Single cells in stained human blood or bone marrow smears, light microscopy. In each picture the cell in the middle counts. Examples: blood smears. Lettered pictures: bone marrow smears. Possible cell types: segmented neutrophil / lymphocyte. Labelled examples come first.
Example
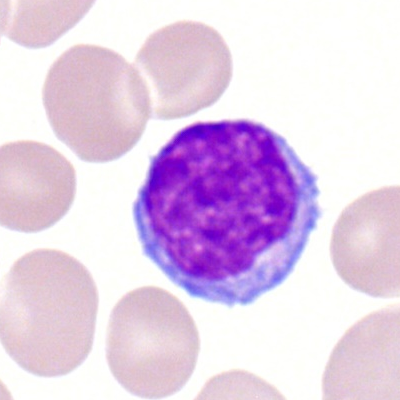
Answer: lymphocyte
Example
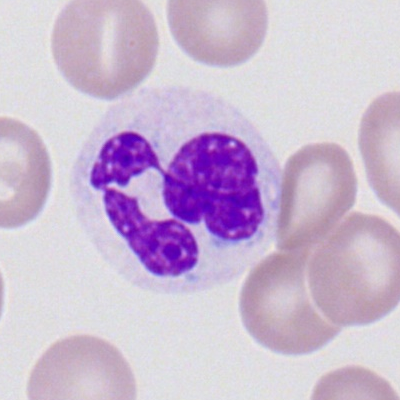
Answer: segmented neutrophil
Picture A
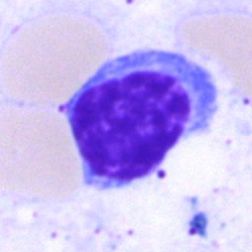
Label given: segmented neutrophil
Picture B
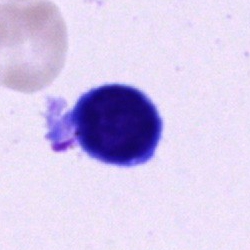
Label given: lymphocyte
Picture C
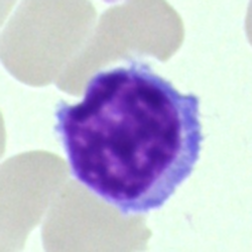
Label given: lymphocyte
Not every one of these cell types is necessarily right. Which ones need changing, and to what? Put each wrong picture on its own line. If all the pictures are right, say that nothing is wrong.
Wrong: A (segmented neutrophil); correct: lymphocyte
